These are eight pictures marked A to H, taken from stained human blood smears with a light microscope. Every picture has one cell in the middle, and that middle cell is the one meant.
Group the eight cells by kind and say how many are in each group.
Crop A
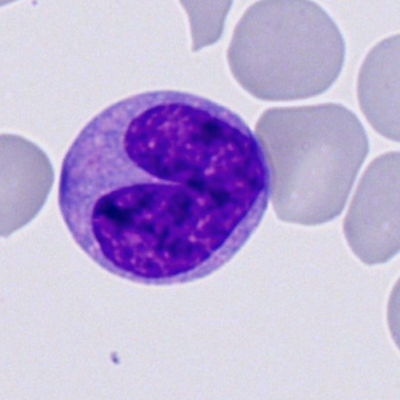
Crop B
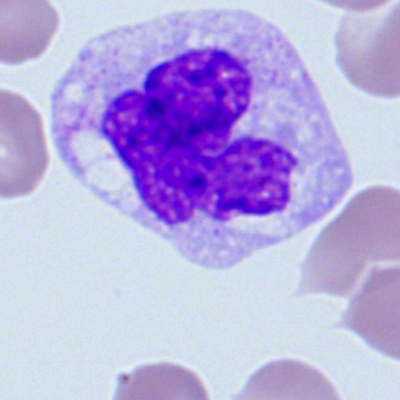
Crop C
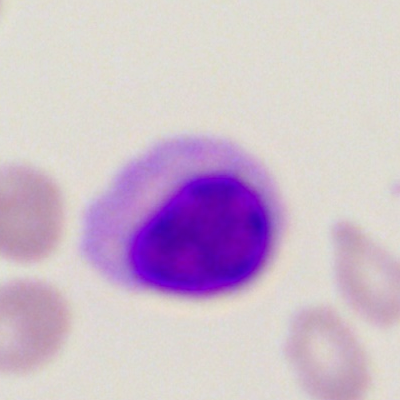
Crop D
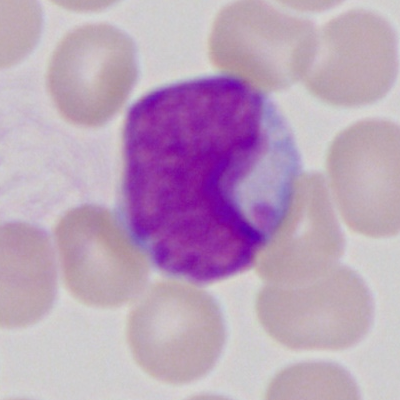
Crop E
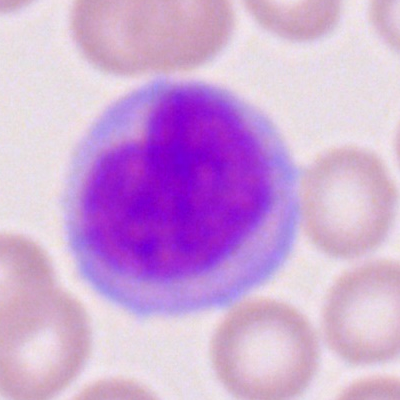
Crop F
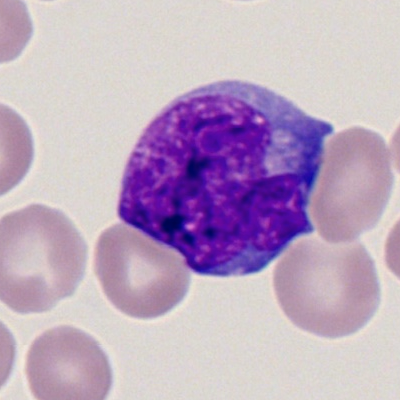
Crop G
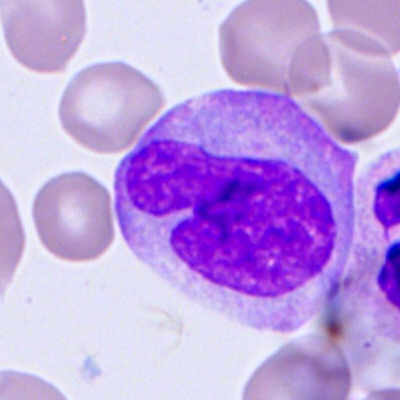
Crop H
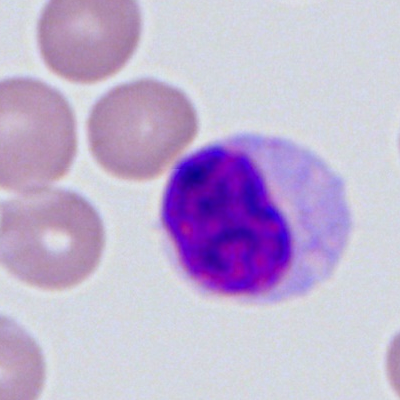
monocyte: 4
lymphocyte: 2
blast: 2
